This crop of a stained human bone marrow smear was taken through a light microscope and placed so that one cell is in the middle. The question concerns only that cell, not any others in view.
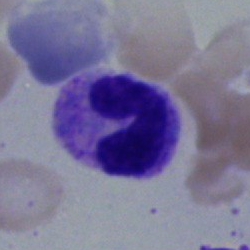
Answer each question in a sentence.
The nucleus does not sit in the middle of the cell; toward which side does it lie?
It is shifted toward the right of the cell.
